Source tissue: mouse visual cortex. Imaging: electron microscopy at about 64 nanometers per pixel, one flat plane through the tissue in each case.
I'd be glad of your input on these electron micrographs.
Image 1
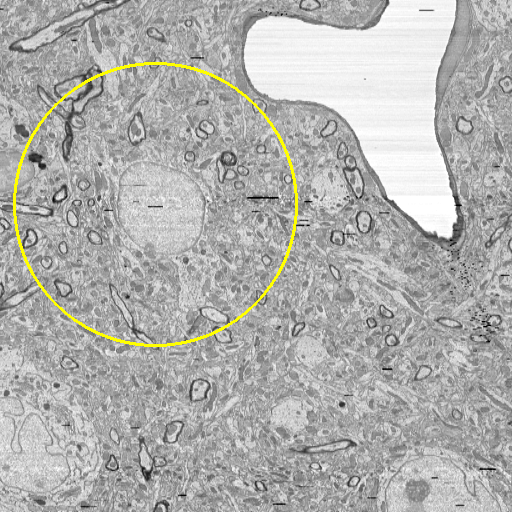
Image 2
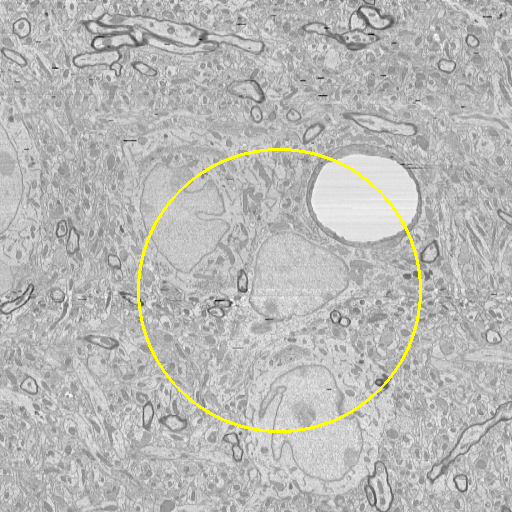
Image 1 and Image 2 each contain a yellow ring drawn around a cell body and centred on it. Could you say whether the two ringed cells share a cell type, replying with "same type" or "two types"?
same type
